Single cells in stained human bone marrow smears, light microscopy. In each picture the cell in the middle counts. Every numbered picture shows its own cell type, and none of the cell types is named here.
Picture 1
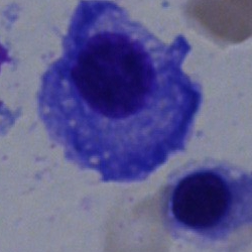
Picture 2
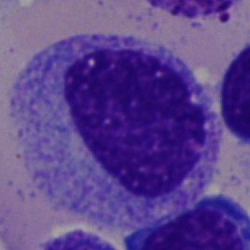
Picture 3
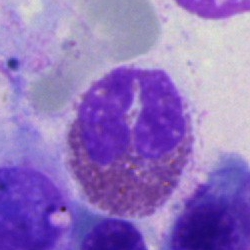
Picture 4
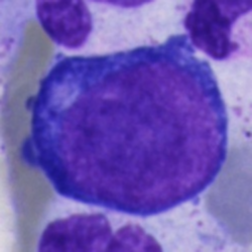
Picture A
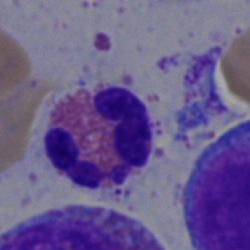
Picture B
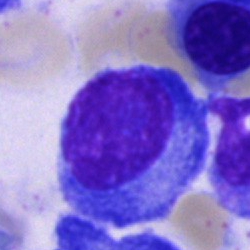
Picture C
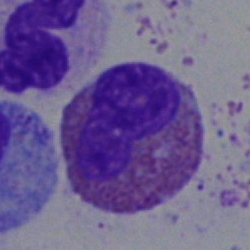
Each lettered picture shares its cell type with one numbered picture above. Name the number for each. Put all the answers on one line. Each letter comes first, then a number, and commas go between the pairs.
A 3, B 1, C 3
